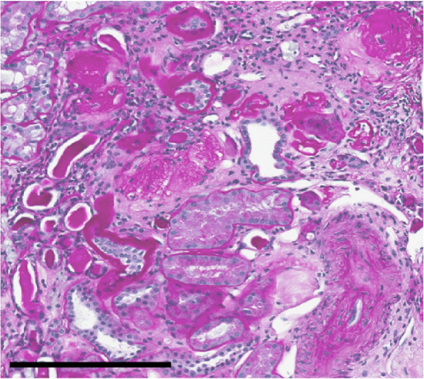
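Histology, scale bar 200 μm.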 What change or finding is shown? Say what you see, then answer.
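Advanced interstitial fibrosis. Tubules are shrunken and widely separated by pale, expanded interstitial tissue. Many tubules have thick, wrinkled, bright magenta basement membranes. Some tubules are filled with dense magenta casts. Scattered dark nuclei of interstitial cells lie between the tubules.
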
